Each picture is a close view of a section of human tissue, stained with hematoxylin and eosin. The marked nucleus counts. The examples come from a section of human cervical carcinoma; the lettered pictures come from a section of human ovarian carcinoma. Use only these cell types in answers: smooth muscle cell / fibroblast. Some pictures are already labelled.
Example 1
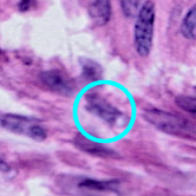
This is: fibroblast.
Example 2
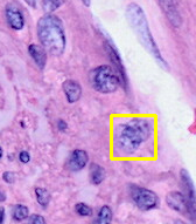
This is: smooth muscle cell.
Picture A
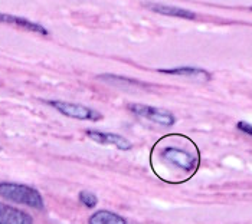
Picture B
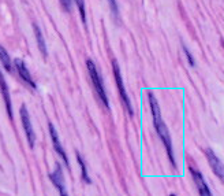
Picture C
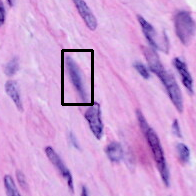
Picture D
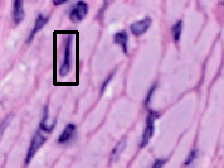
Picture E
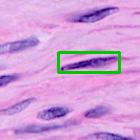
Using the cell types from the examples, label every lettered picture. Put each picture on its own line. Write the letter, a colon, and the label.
A: fibroblast.
B: fibroblast.
C: smooth muscle cell.
D: fibroblast.
E: smooth muscle cell.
